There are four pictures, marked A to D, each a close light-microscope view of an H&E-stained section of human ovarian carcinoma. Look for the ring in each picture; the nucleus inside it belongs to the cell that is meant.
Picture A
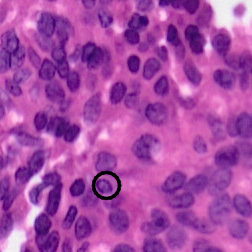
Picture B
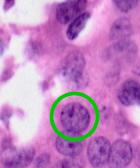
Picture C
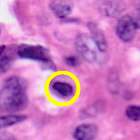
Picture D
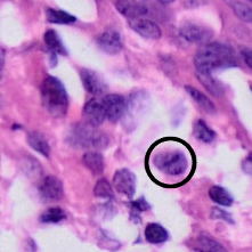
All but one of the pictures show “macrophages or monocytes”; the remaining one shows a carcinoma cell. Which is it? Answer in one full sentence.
Picture B is the one that shows the carcinoma cell.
